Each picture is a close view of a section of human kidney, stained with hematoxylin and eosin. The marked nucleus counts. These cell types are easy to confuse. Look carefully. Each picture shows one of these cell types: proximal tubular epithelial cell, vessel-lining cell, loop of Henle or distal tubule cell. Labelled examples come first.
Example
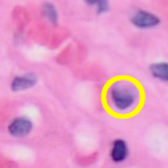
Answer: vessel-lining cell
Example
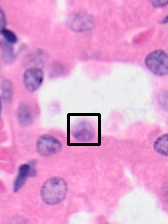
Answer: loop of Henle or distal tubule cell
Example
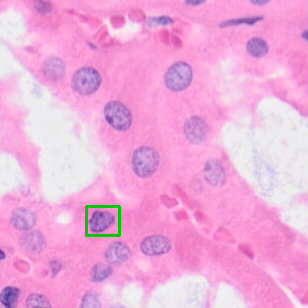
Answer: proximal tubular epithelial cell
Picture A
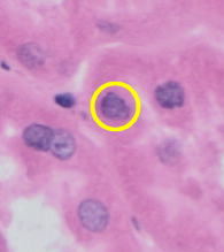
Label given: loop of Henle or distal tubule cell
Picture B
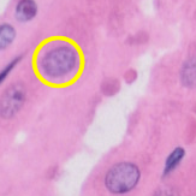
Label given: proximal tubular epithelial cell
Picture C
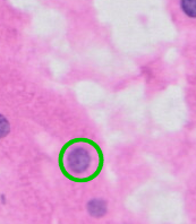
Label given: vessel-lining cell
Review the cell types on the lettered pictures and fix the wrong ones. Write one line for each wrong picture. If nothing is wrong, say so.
A should be proximal tubular epithelial cell, not loop of Henle or distal tubule cell
C should be proximal tubular epithelial cell, not vessel-lining cell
